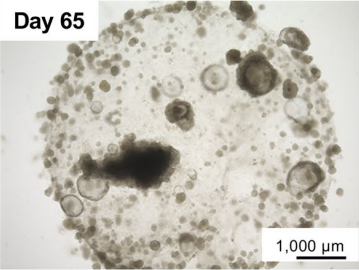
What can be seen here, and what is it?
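A dome of matrix crowded with organoids, most of them small, dark, compact spheres. A few larger cystic organoids with thin walls and clear lumens lie among them.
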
